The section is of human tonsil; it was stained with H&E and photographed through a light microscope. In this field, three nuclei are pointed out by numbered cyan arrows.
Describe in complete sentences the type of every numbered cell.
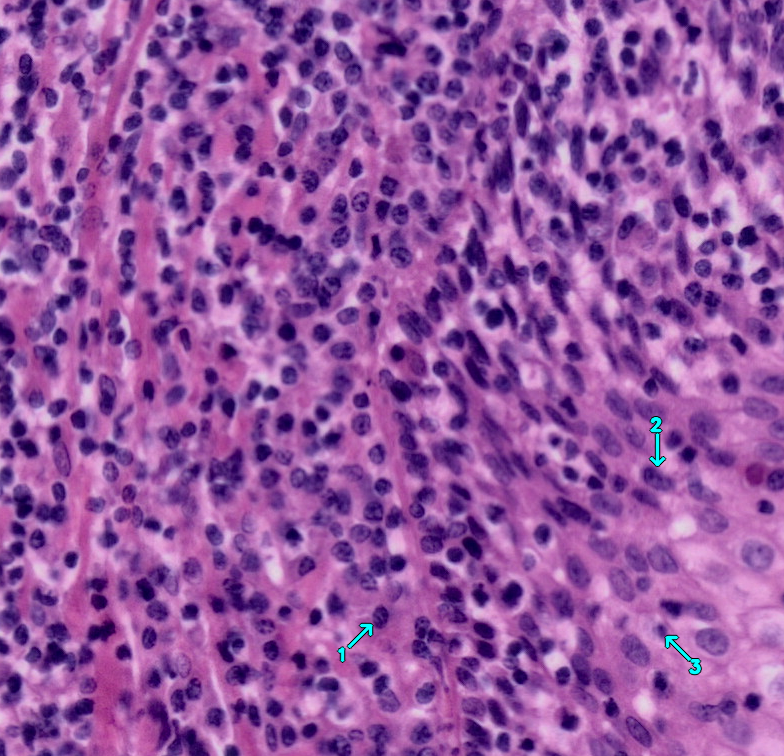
Cell 1 is a plasma cell. Cells 2 and 3 are squamous epithelial cells.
